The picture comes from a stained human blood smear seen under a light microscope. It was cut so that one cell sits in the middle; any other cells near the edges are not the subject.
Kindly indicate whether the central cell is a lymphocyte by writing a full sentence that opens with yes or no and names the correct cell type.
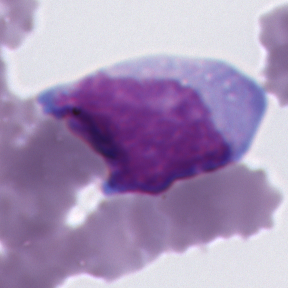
No, the centered cell is a blast and not a lymphocyte at all.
